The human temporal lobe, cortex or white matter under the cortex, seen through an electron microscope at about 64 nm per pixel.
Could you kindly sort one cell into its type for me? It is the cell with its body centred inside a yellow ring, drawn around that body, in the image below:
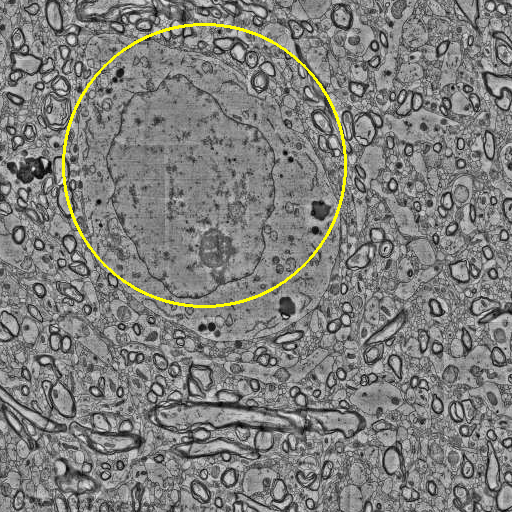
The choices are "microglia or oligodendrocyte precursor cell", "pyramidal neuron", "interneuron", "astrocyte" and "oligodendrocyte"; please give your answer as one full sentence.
The cell whose body lies centred in the yellow ring here is a pyramidal neuron.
